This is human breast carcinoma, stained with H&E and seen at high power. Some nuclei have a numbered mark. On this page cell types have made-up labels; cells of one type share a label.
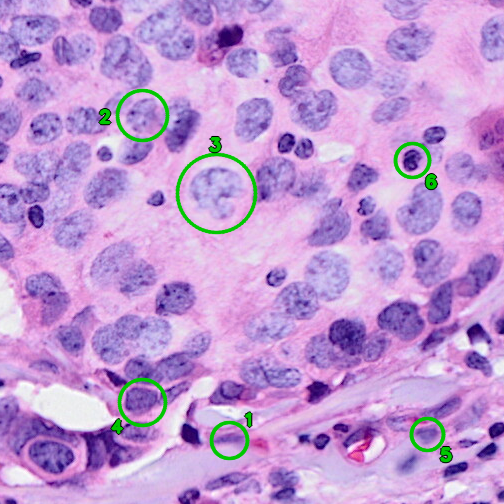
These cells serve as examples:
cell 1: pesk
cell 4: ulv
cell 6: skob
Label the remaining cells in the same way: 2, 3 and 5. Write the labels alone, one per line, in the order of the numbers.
ulv
ulv
pesk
